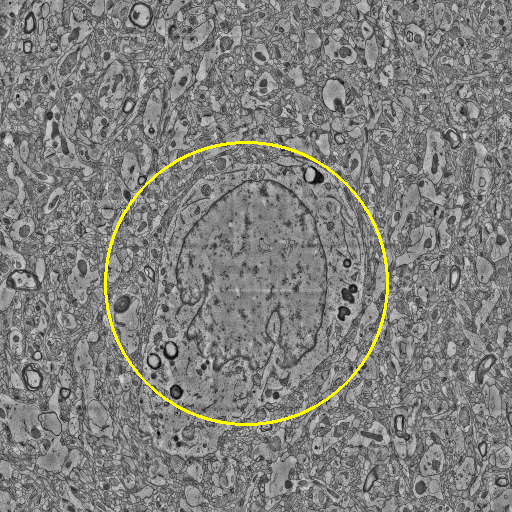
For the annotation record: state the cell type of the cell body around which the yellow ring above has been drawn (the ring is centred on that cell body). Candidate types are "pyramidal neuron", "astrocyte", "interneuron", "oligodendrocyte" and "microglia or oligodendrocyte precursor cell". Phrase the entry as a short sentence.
The ringed cell is a pyramidal neuron.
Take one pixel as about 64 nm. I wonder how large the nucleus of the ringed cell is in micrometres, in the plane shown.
Roughly 13 by 10 micrometres in this plane, for the nucleus of the ringed cell.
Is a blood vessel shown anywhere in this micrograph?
No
